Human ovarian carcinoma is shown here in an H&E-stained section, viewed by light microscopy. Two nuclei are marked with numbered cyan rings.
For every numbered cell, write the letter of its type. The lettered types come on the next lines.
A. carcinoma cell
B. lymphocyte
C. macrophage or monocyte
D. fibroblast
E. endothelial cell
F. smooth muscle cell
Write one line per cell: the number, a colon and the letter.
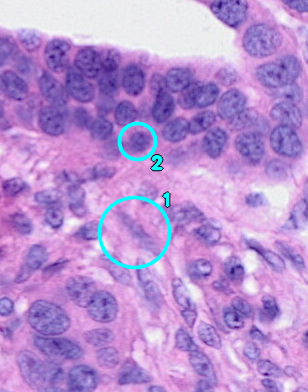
1: D
2: A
